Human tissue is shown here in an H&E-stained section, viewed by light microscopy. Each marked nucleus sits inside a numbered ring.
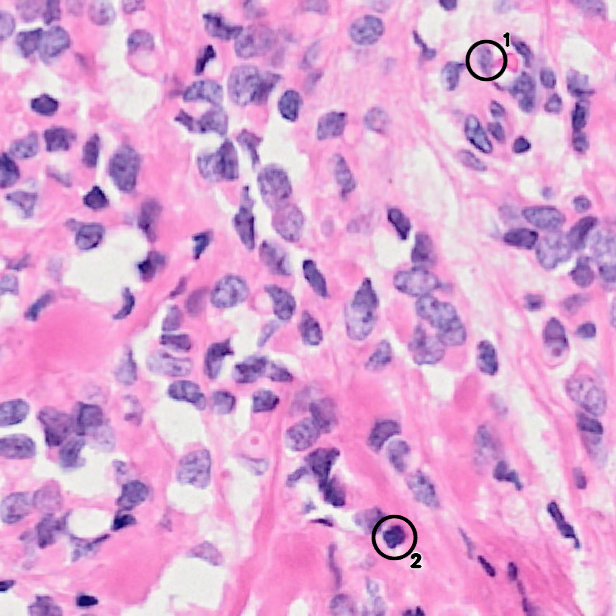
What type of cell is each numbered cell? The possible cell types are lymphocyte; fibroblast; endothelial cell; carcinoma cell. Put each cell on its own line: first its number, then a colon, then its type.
1: endothelial cell
2: lymphocyte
